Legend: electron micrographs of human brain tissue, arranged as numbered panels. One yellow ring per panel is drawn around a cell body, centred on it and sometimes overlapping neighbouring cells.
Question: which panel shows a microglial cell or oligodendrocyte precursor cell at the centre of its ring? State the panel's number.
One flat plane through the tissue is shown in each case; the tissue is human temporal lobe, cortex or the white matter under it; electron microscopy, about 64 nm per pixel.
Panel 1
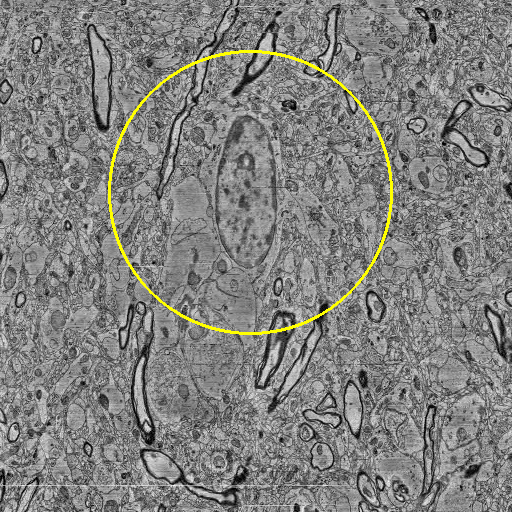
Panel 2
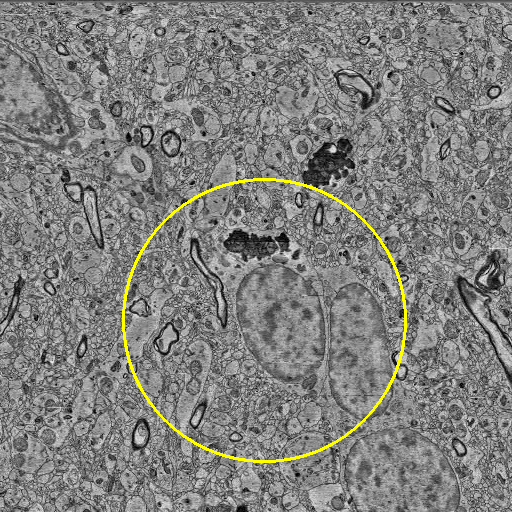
1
